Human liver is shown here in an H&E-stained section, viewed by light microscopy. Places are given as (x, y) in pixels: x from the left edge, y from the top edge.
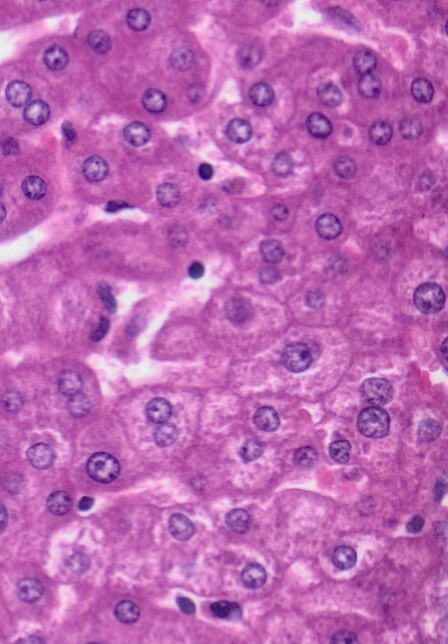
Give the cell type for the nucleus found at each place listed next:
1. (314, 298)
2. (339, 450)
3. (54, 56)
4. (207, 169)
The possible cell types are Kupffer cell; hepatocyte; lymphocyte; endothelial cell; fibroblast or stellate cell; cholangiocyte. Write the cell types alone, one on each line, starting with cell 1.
hepatocyte
hepatocyte
hepatocyte
lymphocyte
